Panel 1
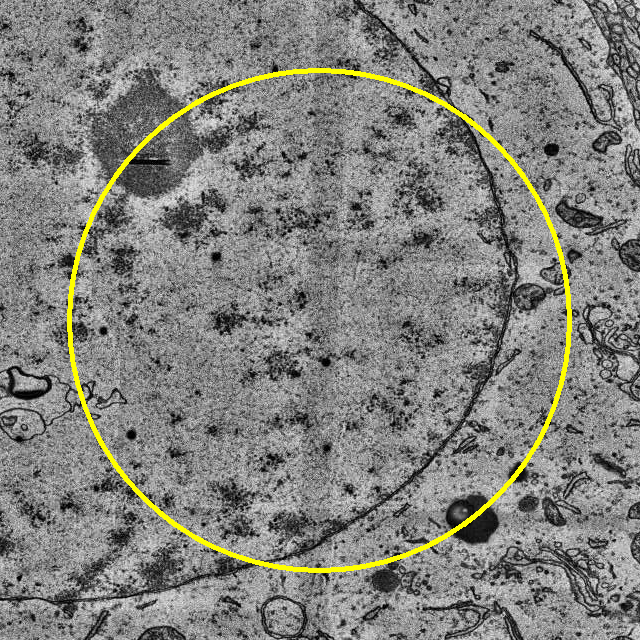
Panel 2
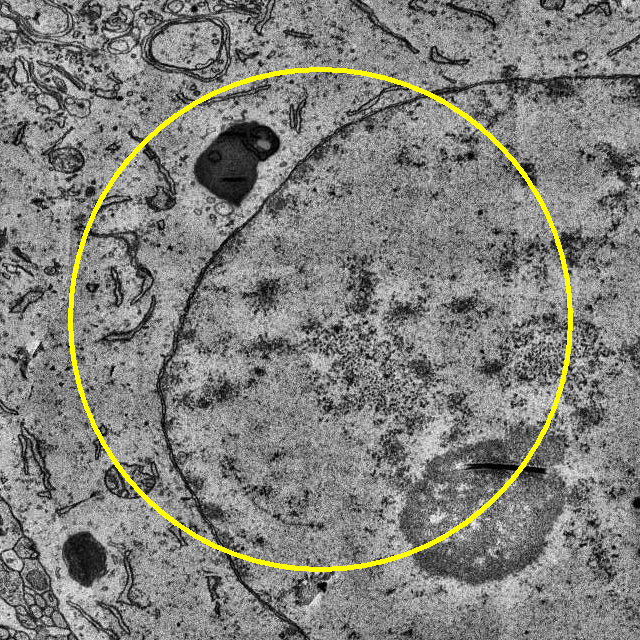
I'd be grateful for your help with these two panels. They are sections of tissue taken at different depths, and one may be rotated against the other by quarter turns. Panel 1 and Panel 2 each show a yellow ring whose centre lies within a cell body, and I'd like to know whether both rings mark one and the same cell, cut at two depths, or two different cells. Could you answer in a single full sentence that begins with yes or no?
Yes, the two rings belong to one cell, not to two.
